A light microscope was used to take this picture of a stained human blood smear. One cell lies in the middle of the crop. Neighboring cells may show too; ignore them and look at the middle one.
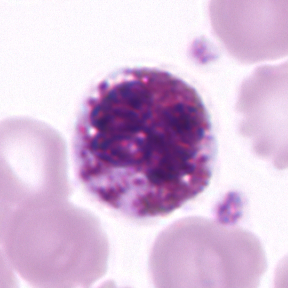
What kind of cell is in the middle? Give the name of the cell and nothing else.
eosinophil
